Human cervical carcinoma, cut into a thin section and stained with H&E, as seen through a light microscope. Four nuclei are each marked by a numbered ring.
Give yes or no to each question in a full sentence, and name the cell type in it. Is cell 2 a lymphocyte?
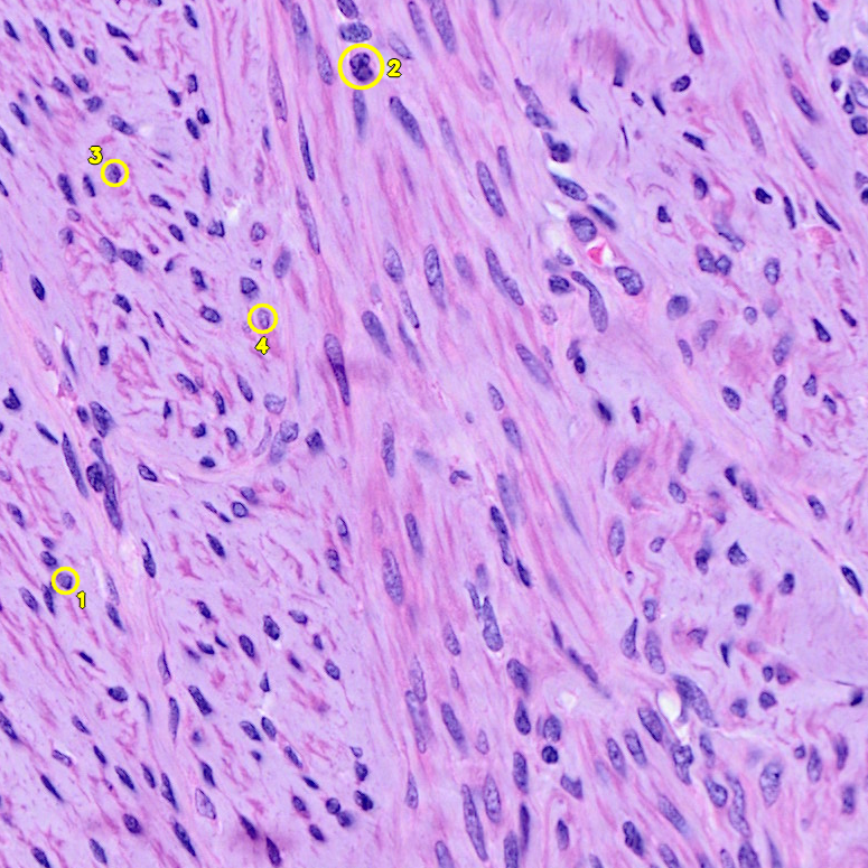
Yes, cell number 2 is identified here as a lymphocyte.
